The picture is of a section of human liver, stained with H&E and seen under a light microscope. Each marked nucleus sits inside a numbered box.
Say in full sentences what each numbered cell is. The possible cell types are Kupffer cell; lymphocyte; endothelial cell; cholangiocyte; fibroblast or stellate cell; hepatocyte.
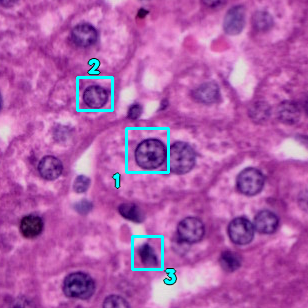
Cell 1 is a hepatocyte, cell 2 is a hepatocyte and cell 3 is a fibroblast or stellate cell.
